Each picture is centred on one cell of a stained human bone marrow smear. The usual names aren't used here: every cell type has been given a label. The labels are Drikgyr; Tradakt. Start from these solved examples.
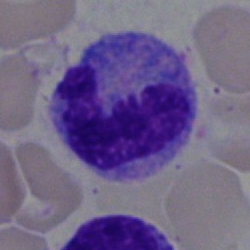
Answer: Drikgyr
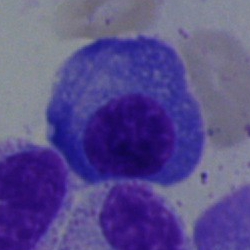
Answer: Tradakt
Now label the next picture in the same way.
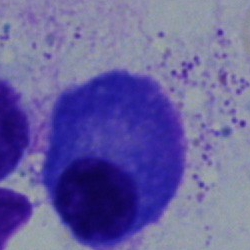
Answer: Tradakt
